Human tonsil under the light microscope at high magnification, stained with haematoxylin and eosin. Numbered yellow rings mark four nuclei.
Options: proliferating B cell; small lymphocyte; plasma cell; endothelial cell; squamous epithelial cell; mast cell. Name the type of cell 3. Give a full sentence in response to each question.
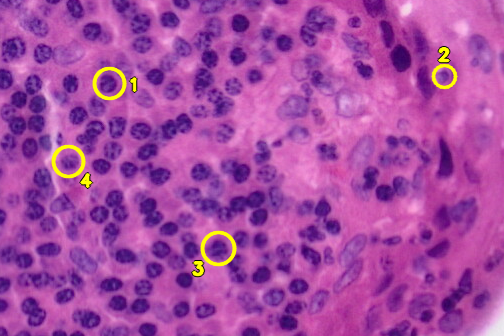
The cell assigned the number 3 is a plasma cell.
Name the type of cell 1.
The marked nucleus 1 is that of a plasma cell.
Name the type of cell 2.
In the marked set, the cell given number 2 is a squamous epithelial cell.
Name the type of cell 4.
In this section, the cell tagged 4 is a plasma cell.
